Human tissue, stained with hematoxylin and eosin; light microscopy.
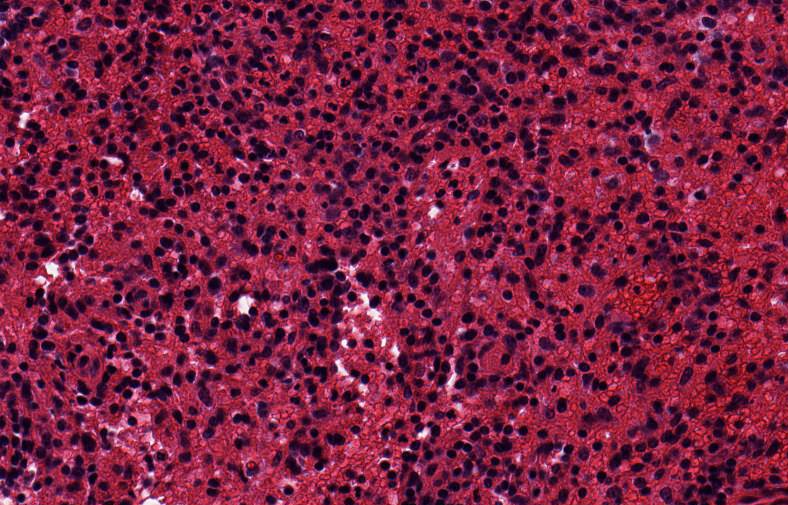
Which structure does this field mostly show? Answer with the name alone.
red pulp of the spleen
